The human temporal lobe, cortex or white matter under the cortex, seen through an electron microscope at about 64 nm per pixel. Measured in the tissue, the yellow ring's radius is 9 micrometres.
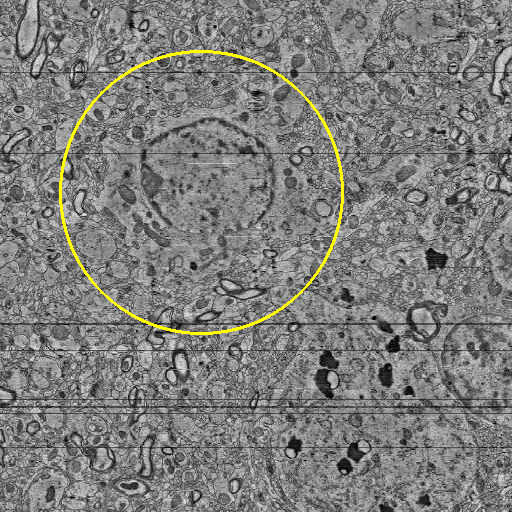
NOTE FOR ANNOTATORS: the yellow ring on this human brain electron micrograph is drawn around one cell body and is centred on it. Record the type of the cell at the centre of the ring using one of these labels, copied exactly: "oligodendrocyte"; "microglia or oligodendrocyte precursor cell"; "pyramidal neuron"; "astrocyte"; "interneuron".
astrocyte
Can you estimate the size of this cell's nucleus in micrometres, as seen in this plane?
The nucleus comes to roughly 8 micrometres across in this plane.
